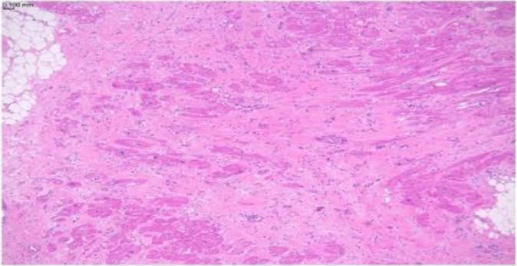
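This is myocardium with pink-staining cardiac muscle fibres showing myocyte hypertrophy, arranged in bundles that run in varying directions. Paler pink, less cellular areas lie between the muscle bundles, and clear fat cells are seen at the left edge.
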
